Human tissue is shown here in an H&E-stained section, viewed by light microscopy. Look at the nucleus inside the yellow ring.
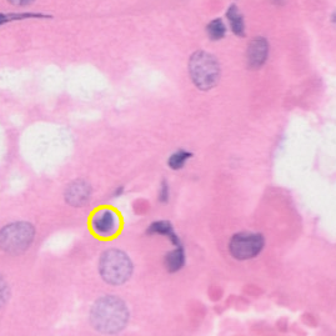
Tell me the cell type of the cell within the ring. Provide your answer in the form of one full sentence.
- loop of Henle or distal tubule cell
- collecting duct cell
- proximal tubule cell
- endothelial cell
In the tissue at hand, the cell within the ring is an endothelial cell.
